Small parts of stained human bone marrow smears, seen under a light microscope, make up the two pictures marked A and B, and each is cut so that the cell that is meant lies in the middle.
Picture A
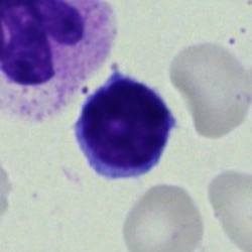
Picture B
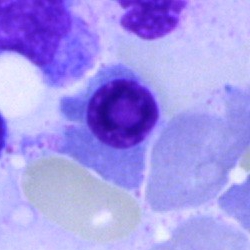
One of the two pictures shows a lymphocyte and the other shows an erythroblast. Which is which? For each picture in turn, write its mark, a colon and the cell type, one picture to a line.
A: lymphocyte
B: erythroblast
